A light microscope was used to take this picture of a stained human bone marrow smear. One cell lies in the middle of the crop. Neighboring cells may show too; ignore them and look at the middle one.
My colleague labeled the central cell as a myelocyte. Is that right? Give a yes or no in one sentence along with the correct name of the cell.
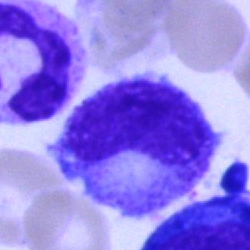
No, what is seen at the centre is a metamyelocyte instead of a myelocyte.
